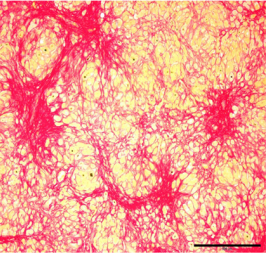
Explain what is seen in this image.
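This low-power view of liver shows broad bands of red-stained fibrous tissue crossing pale yellow parenchyma. The bands gather into dense red centres from which strands radiate outward, linking up with one another. Between the bands, islands of parenchyma are surrounded by red fibres, giving the tissue a nodular pattern. Finer red strands also reach in between the pale cells inside the islands.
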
